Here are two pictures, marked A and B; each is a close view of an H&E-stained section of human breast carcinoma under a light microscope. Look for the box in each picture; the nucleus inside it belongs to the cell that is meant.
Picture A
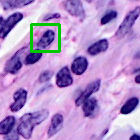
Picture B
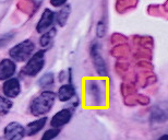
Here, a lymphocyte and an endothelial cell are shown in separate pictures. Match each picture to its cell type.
A: lymphocyte
B: endothelial cell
